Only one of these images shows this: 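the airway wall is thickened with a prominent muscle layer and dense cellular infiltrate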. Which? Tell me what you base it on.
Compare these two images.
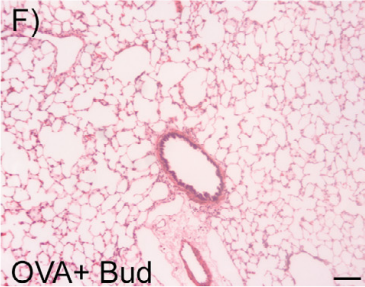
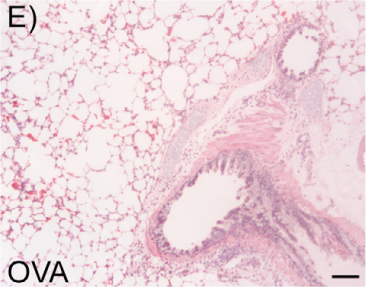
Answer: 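The second image. First image: the airway has a thin wall with little surrounding tissue. Second image: the airway wall is thick, with a broad pink band and many purple cells around it.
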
